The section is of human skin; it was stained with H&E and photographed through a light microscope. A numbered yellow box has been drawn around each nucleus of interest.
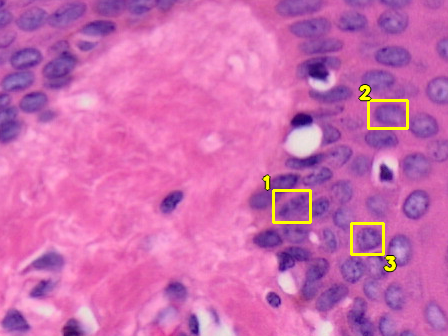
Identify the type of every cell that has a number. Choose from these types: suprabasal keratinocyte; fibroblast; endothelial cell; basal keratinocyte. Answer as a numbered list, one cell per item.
1. basal keratinocyte
2. suprabasal keratinocyte
3. suprabasal keratinocyte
